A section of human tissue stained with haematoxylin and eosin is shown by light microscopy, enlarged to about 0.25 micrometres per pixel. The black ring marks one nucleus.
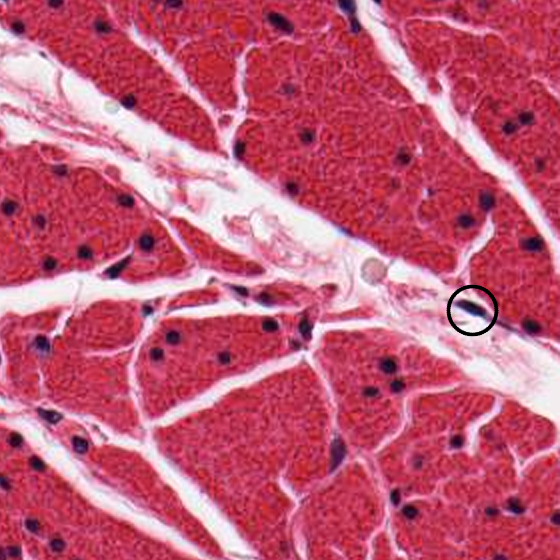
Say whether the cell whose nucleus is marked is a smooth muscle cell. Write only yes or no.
no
